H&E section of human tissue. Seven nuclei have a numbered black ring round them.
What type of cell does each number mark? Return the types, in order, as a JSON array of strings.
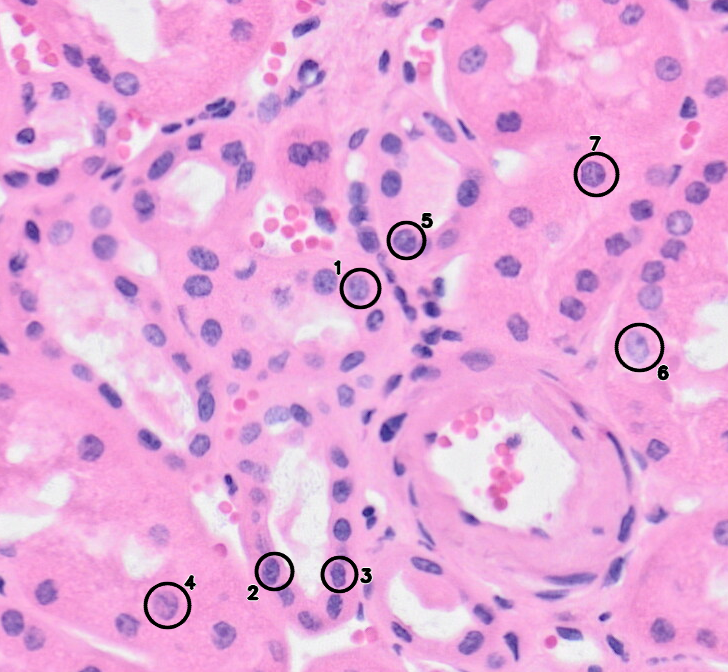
["collecting duct cell", "collecting duct cell", "collecting duct cell", "proximal tubule cell", "collecting duct cell", "proximal tubule cell", "proximal tubule cell"]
